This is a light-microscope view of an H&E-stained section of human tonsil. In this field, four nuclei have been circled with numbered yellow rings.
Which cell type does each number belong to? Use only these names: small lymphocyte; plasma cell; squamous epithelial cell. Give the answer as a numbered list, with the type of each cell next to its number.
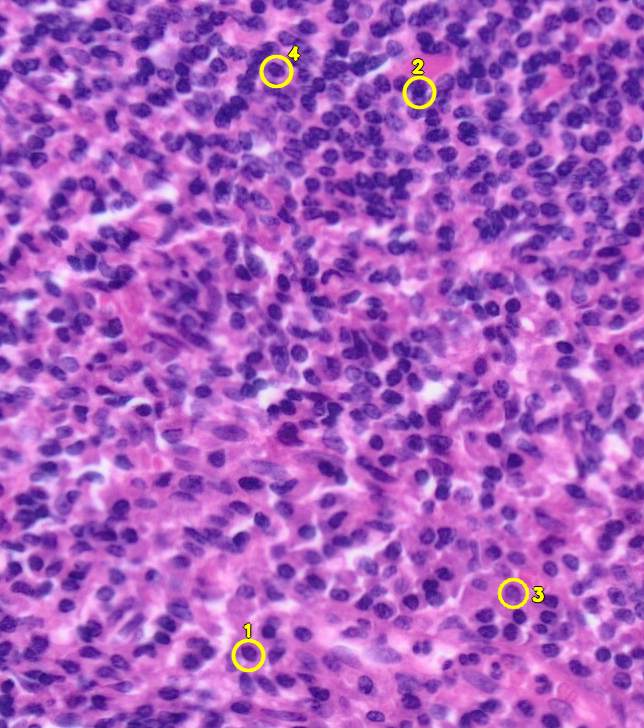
1. plasma cell
2. small lymphocyte
3. plasma cell
4. small lymphocyte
